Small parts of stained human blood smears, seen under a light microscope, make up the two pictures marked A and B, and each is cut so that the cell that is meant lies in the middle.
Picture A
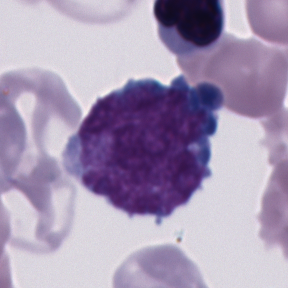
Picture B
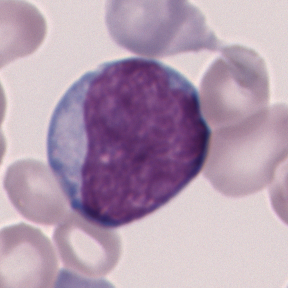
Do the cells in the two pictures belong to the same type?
yes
